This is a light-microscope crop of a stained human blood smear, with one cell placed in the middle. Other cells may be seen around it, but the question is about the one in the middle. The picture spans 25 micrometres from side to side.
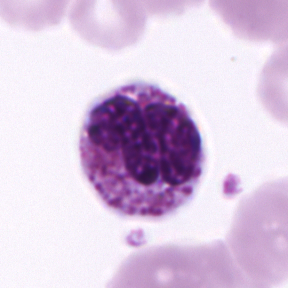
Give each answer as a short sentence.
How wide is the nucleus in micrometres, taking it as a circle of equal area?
It measures about 8 micrometres across.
